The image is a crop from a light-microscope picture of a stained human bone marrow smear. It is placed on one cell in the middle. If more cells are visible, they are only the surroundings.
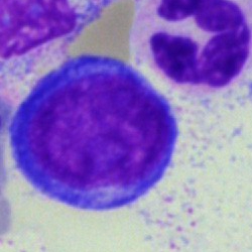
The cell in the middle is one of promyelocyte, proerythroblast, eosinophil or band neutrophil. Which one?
proerythroblast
